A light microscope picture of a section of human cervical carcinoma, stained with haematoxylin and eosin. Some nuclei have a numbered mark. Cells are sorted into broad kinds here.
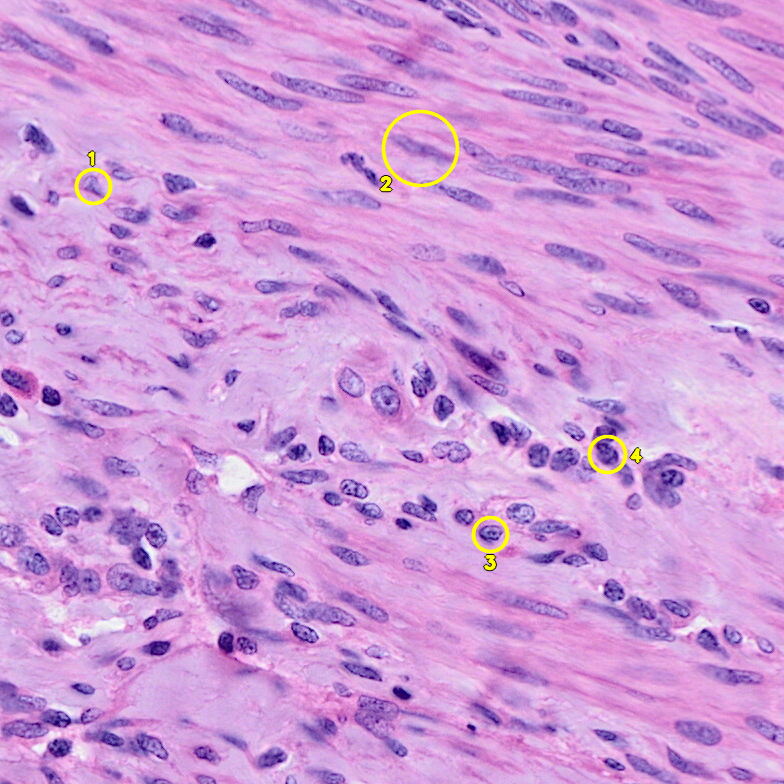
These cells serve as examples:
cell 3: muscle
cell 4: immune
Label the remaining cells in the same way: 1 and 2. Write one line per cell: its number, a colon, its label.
1: muscle
2: muscle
